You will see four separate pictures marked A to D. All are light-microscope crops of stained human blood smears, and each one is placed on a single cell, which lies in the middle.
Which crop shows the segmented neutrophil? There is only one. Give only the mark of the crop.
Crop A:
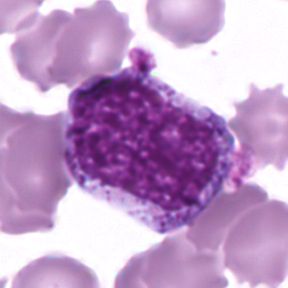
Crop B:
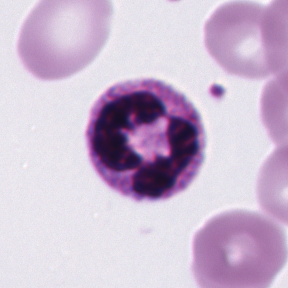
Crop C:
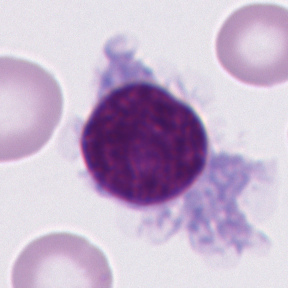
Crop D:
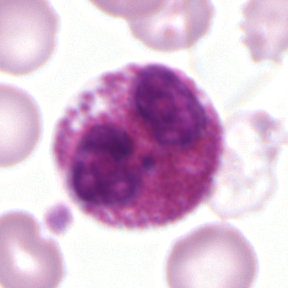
B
